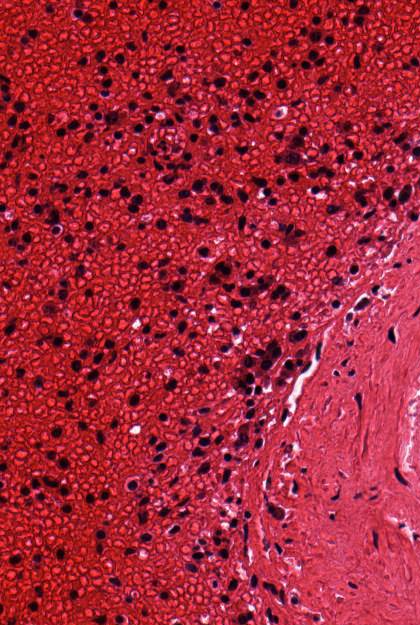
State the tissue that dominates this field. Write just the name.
red pulp of the spleen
